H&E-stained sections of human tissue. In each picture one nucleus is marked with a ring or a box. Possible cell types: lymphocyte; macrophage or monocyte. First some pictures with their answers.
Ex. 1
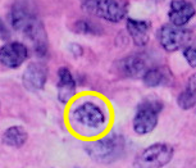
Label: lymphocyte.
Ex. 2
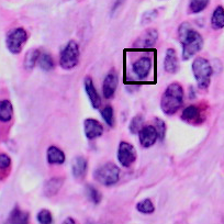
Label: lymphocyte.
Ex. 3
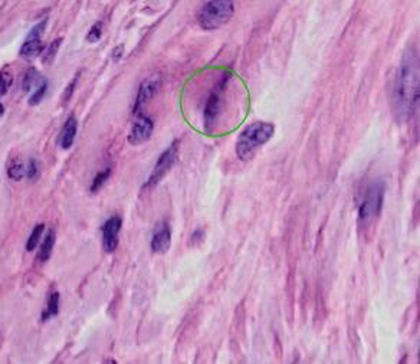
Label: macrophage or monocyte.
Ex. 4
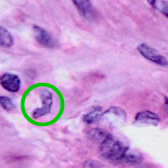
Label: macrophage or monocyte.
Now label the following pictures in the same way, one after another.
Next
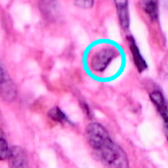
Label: macrophage or monocyte.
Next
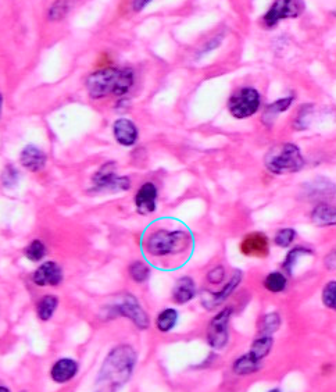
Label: macrophage or monocyte.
